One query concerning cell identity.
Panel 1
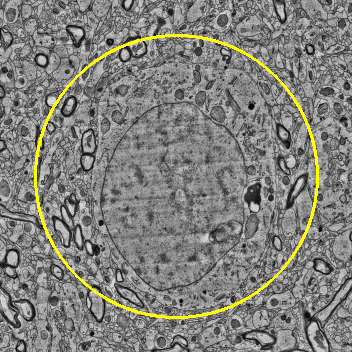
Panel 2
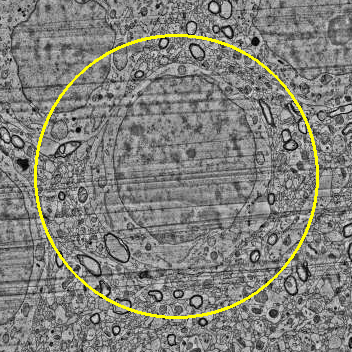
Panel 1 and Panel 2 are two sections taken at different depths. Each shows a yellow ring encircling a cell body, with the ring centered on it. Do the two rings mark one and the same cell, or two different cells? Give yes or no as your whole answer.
no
